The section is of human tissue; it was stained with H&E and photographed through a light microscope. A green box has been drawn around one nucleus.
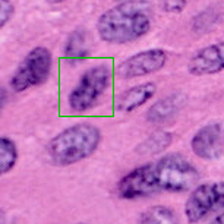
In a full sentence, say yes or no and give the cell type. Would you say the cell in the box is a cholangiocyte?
No, the cell in the box is a squamous carcinoma cell instead of a cholangiocyte.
